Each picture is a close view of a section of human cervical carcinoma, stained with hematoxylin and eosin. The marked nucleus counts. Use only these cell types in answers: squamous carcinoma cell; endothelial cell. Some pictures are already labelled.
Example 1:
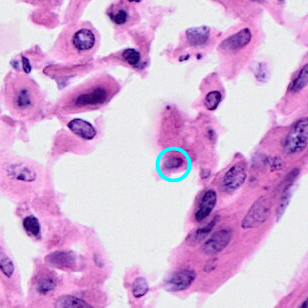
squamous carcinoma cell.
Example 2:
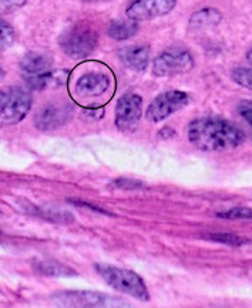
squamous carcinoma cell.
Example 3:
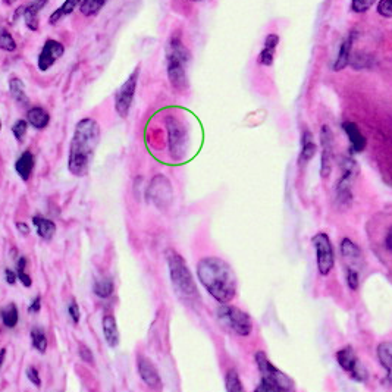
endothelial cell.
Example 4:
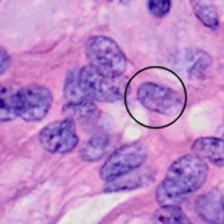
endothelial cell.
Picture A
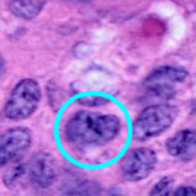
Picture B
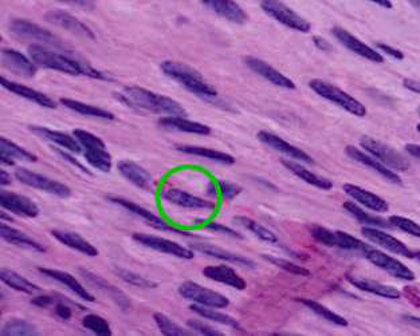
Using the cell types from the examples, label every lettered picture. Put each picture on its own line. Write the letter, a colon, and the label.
A: squamous carcinoma cell.
B: endothelial cell.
